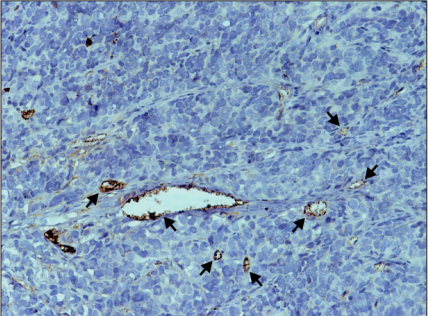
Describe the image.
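Scattered through the sheet are small vessel lumens lined by thin brown-stained cells, some containing brown material. A larger elongated open vessel with a brown-stained wall lies in the lower left part of the field. Narrow streaks of spindle-shaped stromal cells run between the tumor cells.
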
